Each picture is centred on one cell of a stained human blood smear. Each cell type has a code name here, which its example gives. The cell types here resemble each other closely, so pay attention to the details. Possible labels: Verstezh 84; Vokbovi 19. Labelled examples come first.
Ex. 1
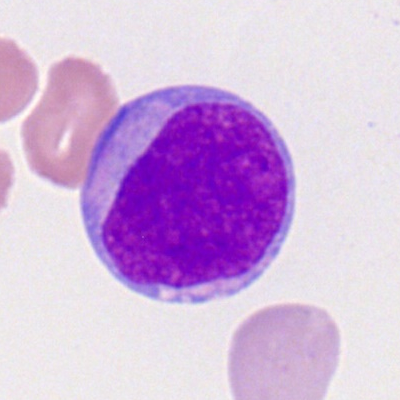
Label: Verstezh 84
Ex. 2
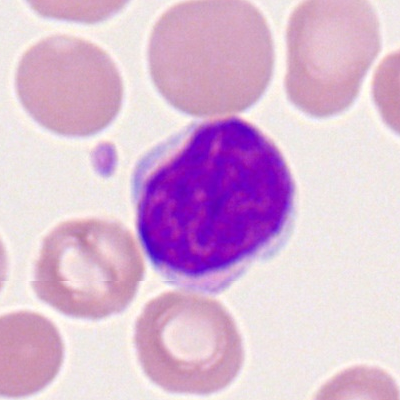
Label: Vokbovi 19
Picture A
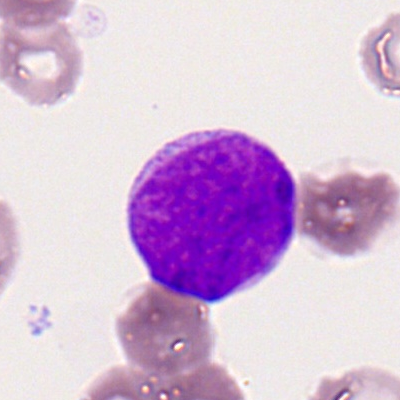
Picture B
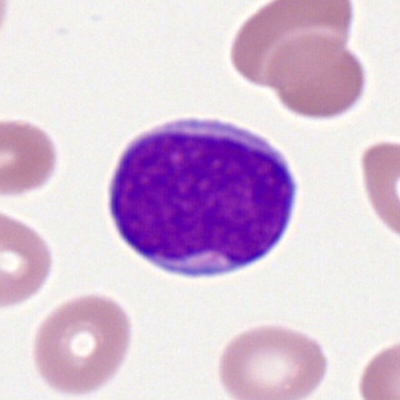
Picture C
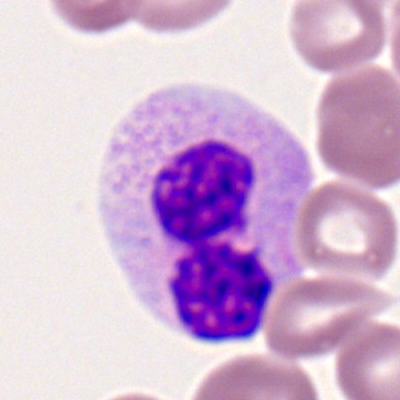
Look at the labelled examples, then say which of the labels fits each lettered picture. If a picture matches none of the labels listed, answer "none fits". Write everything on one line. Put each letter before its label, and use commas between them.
A Verstezh 84, B Verstezh 84, C none fits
